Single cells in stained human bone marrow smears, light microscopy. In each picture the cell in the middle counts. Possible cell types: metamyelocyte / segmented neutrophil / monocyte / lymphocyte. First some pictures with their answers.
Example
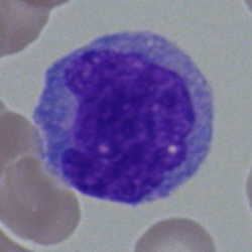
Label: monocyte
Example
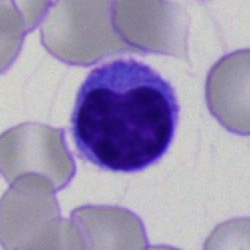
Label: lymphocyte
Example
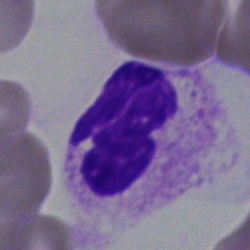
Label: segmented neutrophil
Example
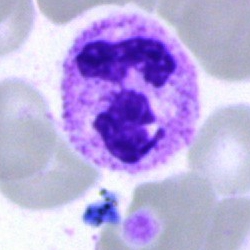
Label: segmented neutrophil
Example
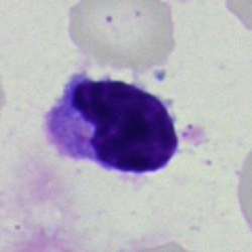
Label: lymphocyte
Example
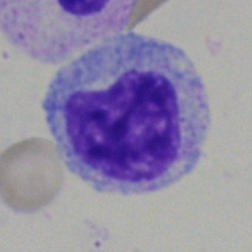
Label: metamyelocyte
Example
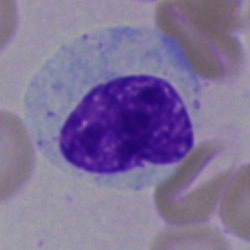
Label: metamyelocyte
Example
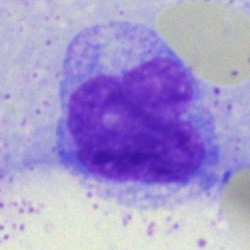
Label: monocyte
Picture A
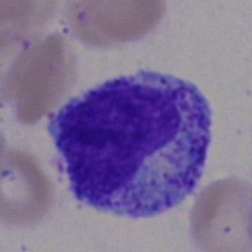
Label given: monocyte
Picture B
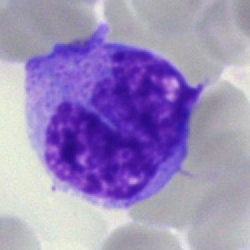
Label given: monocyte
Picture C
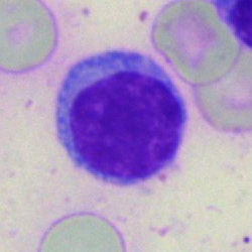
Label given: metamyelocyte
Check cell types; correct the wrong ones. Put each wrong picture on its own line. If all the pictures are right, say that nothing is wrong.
Wrong: A (monocyte); correct: metamyelocyte
Wrong: C (metamyelocyte); correct: lymphocyte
